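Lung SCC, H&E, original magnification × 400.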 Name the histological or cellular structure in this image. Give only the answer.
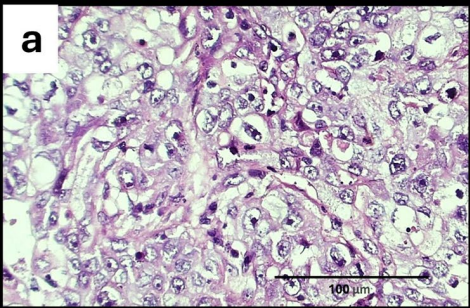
Solid sheets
